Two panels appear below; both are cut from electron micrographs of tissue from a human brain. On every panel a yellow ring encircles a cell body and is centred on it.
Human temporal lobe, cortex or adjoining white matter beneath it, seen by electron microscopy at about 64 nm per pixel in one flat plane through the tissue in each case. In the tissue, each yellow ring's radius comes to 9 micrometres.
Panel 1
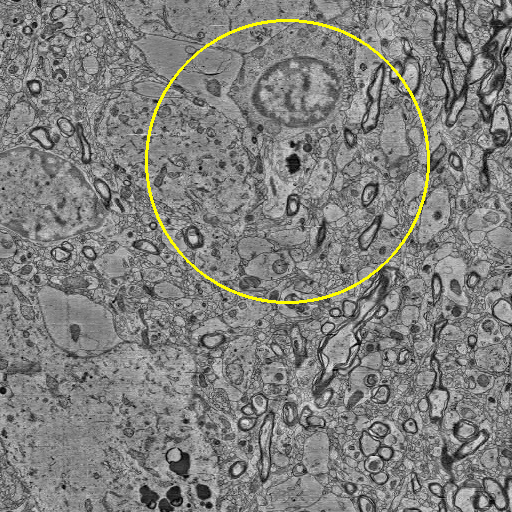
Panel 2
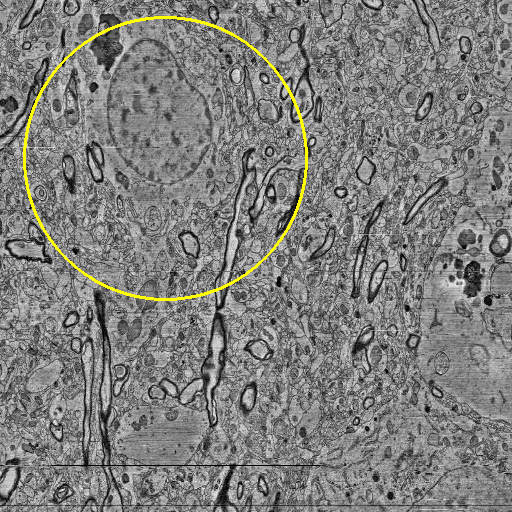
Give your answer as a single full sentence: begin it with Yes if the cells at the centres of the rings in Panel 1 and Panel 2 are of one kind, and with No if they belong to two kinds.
No, the cells in the middle of the rings in Panels 1 and 2 are of two kinds.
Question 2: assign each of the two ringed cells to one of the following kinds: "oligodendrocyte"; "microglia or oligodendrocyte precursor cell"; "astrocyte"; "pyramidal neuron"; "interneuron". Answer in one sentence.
The two cells are an oligodendrocyte in the first picture and an astrocyte in the second.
